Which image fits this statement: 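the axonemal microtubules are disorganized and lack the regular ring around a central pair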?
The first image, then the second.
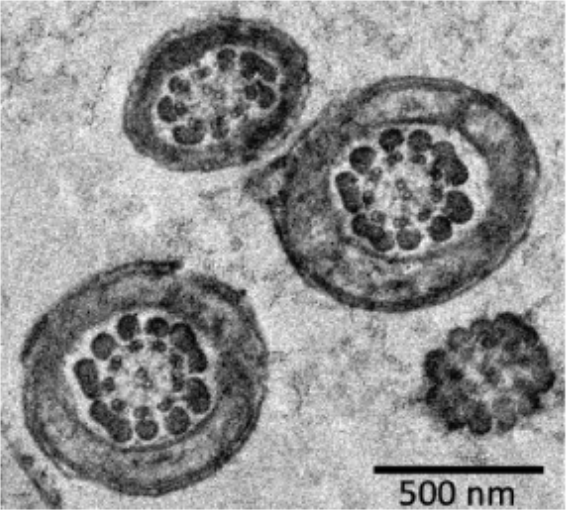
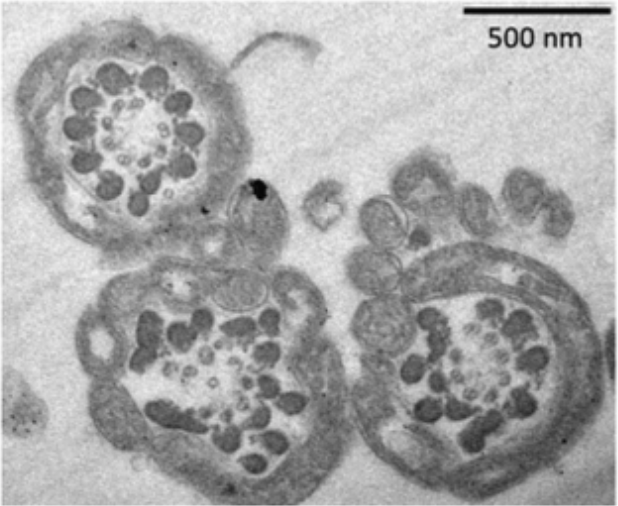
The second image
